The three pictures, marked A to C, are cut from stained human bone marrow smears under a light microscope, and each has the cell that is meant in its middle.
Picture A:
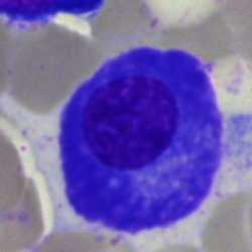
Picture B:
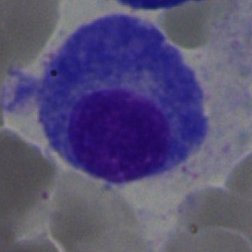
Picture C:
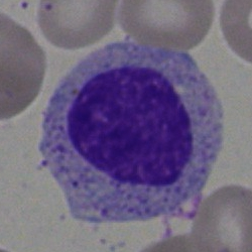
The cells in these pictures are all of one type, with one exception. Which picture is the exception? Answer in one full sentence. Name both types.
All pictures except C show plasma cells; picture C shows a myelocyte.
